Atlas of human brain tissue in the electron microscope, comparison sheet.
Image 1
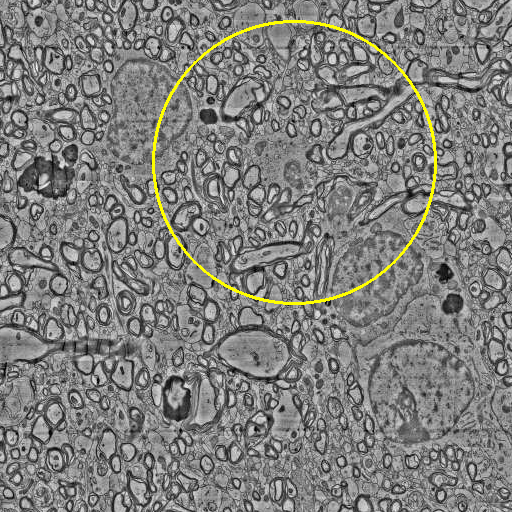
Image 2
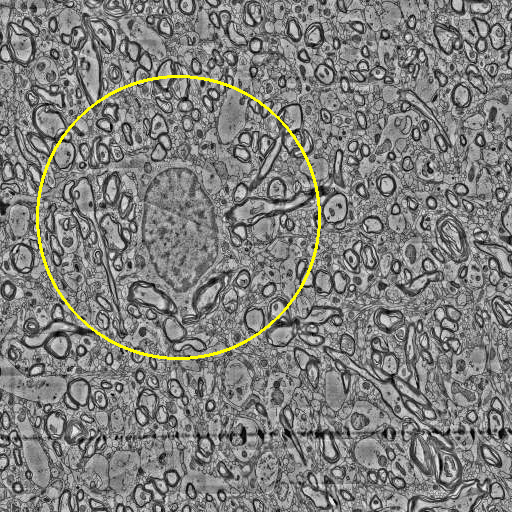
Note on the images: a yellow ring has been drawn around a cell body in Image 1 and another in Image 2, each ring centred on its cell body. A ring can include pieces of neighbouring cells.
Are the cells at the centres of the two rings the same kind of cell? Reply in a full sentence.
Yes, both cells are of the same kind.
